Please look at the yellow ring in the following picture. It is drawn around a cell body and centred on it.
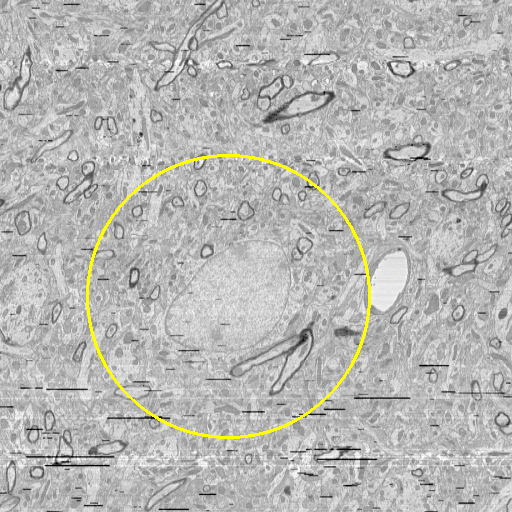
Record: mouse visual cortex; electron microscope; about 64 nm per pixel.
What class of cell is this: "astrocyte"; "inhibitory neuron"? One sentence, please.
The ring surrounds the cell body of an astrocyte.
